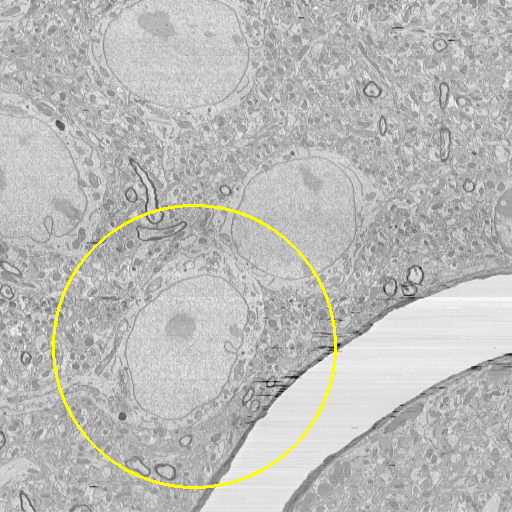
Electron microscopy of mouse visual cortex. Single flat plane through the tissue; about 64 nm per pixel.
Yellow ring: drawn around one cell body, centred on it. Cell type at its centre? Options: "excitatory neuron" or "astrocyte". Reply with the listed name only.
excitatory neuron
